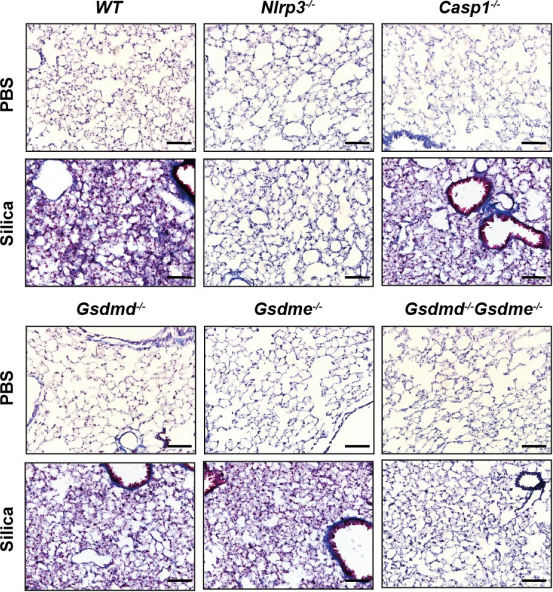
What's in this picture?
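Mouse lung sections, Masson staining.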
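Several frames show open alveoli with thin septa and few nuclei. Others show thickened, cell-dense septa with many dark nuclei and reduced air space. Bronchioles stand out with a deep red epithelial lining, and bands of blue-stained connective tissue lie around airways and vessels, wider in some frames than others. Small blue-rimmed vessels are scattered in the parenchyma. One lower frame shows largely preserved, open alveolar architecture with only a small blue-outlined structure.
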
